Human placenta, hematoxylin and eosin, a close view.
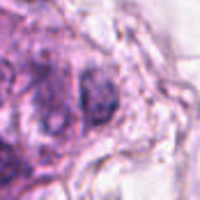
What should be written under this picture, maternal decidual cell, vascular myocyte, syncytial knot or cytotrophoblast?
cytotrophoblast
